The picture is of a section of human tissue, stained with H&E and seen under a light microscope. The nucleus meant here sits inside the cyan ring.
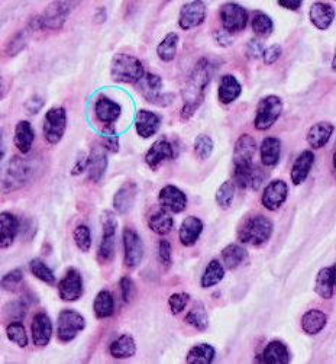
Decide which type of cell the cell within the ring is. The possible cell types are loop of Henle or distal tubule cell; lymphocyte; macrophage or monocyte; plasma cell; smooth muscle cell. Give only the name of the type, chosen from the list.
lymphocyte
